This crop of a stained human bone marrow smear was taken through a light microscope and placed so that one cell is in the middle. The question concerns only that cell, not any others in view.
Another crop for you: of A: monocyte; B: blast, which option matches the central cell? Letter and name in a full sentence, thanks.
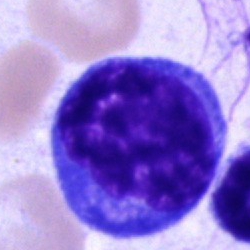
The middle of the crop holds a blast, which points to option B.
